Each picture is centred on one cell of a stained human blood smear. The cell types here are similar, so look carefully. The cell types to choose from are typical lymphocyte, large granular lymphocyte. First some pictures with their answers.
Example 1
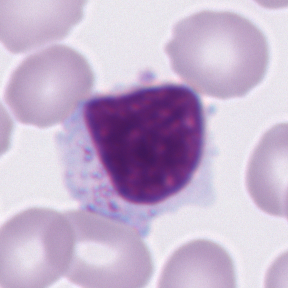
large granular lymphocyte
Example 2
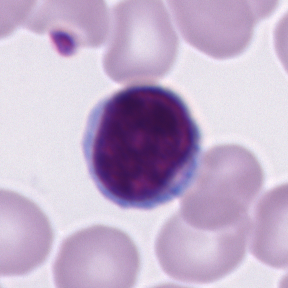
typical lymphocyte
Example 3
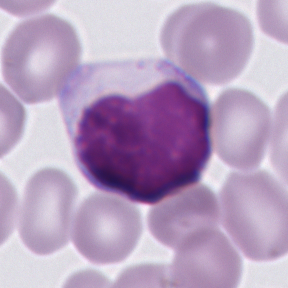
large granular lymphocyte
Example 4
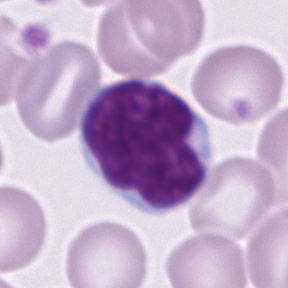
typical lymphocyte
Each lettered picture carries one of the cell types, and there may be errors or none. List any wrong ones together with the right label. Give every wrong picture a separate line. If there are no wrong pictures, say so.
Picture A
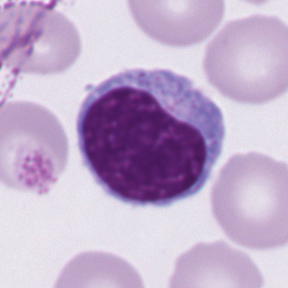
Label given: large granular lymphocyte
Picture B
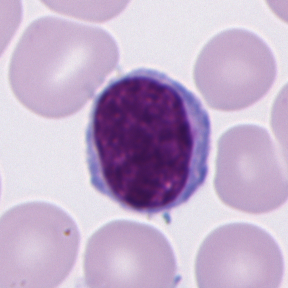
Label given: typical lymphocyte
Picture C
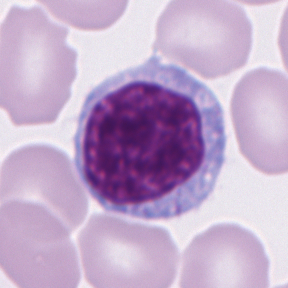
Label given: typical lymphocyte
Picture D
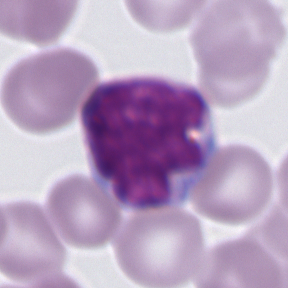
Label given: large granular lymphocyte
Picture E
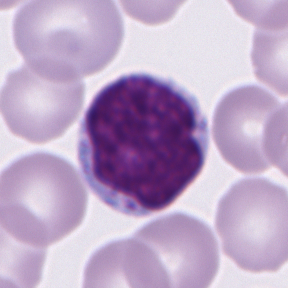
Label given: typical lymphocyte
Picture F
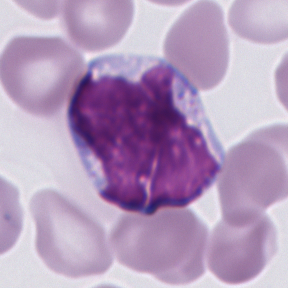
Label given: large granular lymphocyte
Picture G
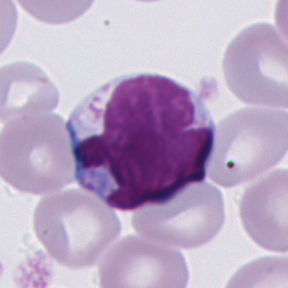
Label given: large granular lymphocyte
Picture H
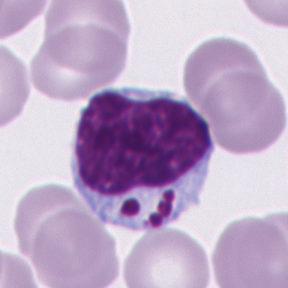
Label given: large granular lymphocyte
Wrong: A (large granular lymphocyte); correct: typical lymphocyte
